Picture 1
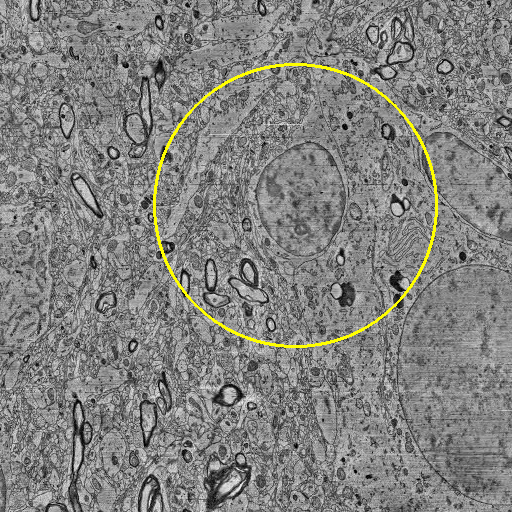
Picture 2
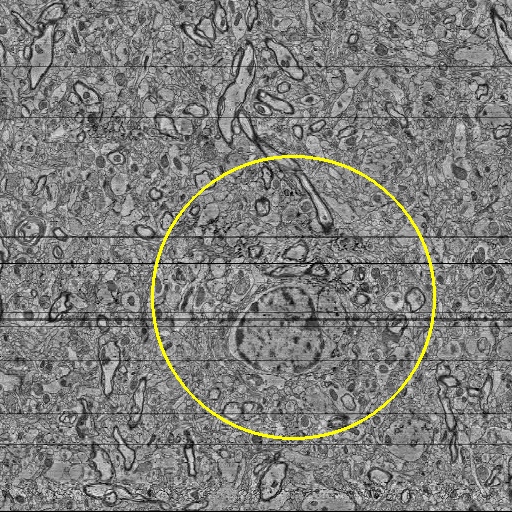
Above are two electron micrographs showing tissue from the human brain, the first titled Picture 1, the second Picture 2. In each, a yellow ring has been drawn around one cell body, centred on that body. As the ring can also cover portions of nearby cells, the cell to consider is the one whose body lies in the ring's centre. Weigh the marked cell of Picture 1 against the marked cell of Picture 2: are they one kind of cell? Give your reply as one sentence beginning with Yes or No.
Yes, the two cells sitting at the ring centres in the pictures are of one kind.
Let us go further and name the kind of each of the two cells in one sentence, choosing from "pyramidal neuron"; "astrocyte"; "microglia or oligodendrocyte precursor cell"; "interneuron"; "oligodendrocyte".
Each cell at the centre of a ring is a microglial cell or oligodendrocyte precursor cell.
